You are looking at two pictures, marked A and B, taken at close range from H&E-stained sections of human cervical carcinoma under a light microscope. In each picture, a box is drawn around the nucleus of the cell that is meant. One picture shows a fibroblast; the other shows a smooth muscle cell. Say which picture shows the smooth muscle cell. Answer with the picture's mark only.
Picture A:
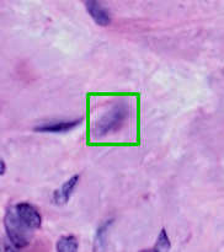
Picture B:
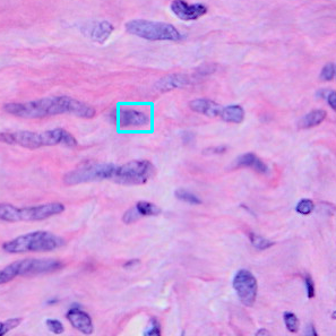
B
